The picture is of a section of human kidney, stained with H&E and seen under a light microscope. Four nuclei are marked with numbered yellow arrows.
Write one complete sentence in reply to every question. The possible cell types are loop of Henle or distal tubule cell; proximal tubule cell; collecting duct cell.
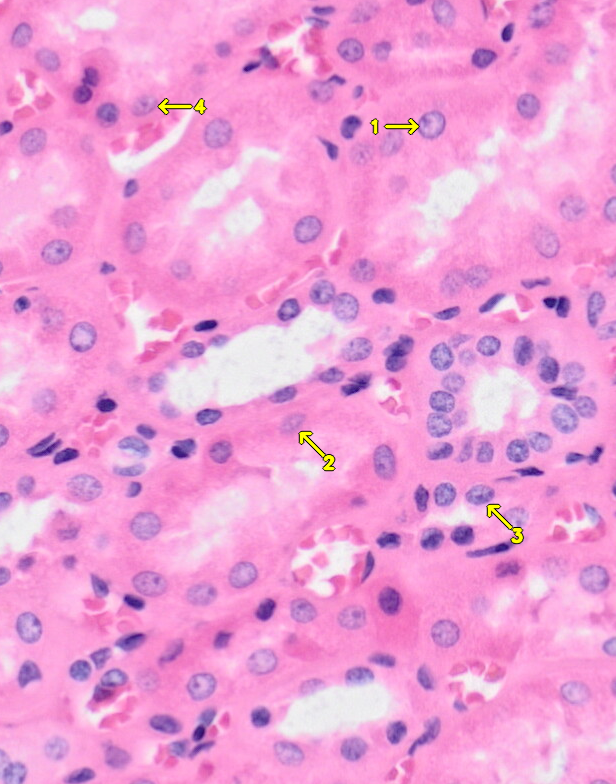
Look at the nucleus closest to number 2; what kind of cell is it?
Number 2 lies closest to the nucleus of a loop of Henle or distal tubule cell.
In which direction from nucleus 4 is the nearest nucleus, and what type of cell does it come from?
It is a proximal tubule cell, whose nucleus lies to the left of nucleus 4.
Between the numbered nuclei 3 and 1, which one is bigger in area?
The larger nucleus is 1, at roughly 1.5 times the area of 3.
